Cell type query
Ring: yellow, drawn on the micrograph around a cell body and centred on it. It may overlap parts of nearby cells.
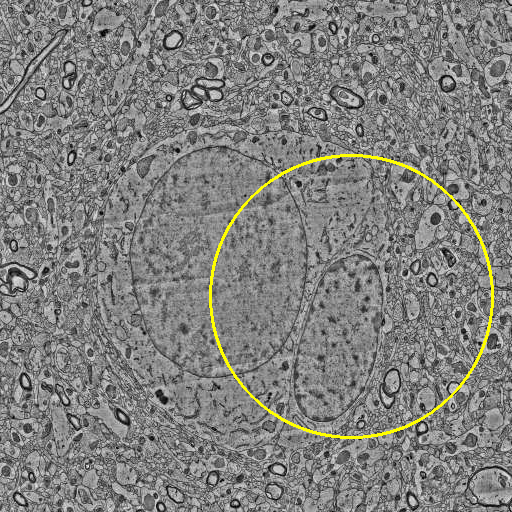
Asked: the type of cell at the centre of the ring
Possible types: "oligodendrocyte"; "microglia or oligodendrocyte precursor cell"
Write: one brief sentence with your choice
The ring marks a microglial cell or oligodendrocyte precursor cell.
